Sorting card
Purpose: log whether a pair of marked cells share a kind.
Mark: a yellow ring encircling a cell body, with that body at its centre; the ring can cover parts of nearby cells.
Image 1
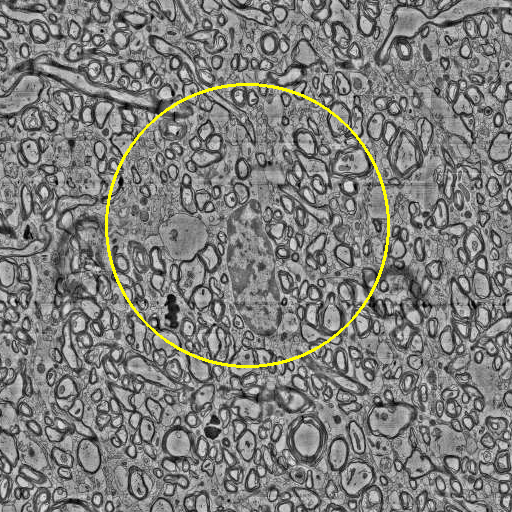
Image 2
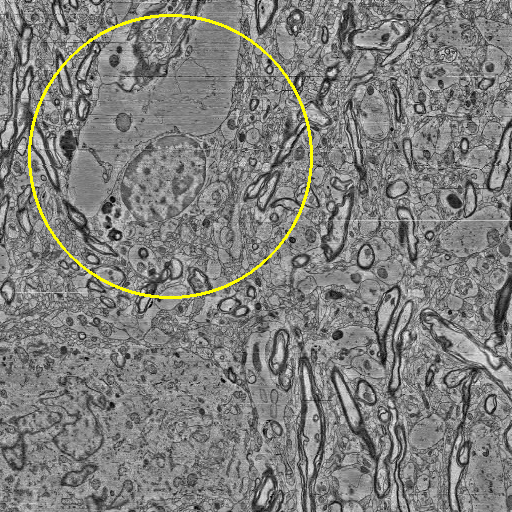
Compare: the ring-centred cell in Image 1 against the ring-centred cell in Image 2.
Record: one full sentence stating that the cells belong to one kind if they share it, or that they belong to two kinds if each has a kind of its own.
Across Images 1 and 2, the two ring-centred cells belong to one kind.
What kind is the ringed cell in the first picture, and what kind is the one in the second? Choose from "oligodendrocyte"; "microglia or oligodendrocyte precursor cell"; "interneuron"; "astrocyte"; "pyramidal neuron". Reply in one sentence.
Both rings mark a microglial cell or oligodendrocyte precursor cell, one in each picture.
